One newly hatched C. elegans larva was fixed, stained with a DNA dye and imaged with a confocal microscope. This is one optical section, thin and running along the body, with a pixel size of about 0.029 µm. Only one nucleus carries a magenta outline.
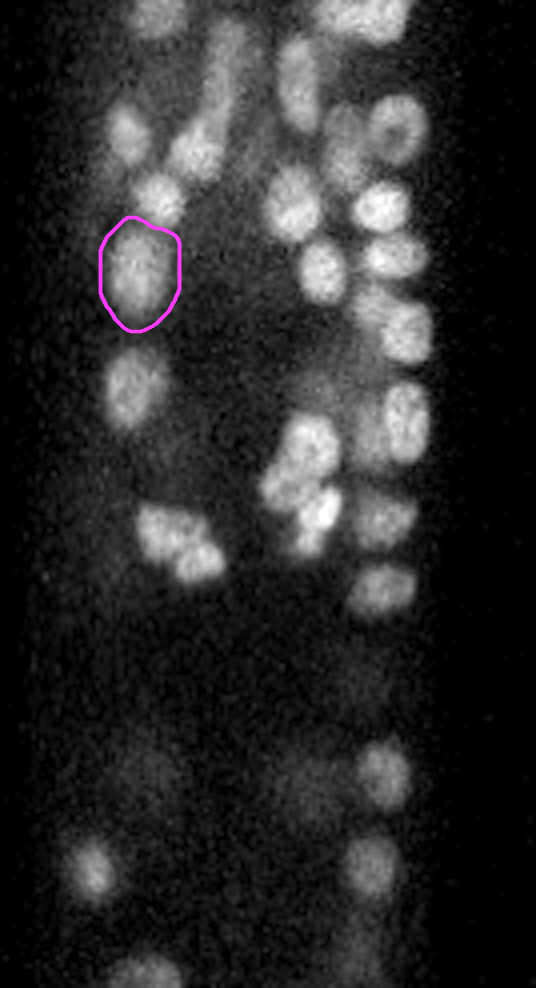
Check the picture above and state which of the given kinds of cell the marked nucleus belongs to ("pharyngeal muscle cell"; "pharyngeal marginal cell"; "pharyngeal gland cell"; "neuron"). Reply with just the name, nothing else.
pharyngeal muscle cell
